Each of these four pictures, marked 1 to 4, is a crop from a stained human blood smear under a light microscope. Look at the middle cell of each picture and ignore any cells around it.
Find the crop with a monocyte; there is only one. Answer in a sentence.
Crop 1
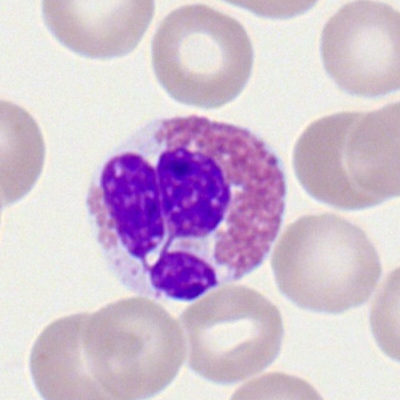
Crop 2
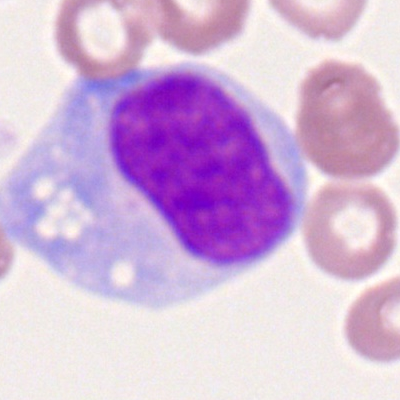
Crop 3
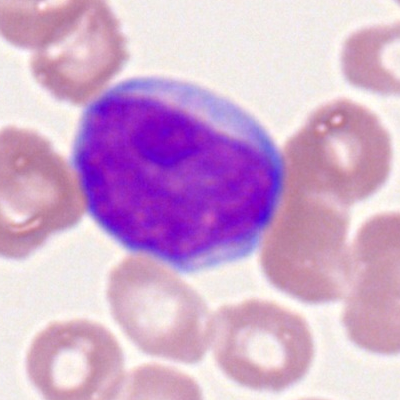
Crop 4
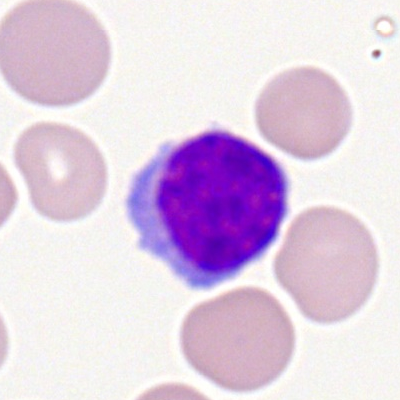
It is in crop 2 that a monocyte is shown.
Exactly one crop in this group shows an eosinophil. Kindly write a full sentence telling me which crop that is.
Only in crop 1 is an eosinophil shown.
